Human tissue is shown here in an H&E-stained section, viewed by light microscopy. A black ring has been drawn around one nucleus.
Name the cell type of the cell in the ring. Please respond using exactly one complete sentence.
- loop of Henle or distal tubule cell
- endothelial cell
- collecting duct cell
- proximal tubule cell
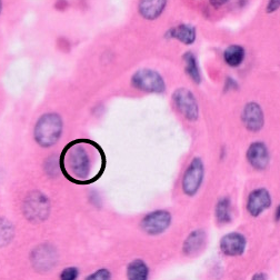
As a matter of cell type, the cell in the ring is a loop of Henle or distal tubule cell.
